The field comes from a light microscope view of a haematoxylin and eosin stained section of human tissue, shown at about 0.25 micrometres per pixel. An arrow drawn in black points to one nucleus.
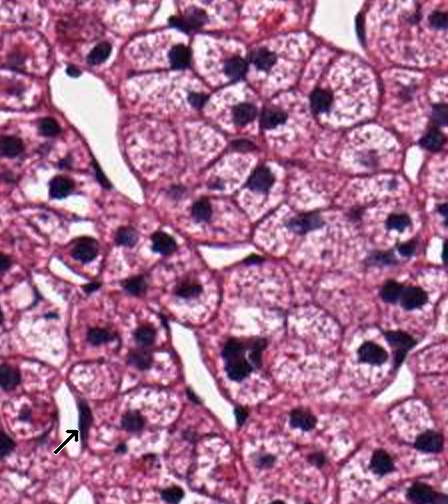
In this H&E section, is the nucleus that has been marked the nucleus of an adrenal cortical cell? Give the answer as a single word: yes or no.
no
